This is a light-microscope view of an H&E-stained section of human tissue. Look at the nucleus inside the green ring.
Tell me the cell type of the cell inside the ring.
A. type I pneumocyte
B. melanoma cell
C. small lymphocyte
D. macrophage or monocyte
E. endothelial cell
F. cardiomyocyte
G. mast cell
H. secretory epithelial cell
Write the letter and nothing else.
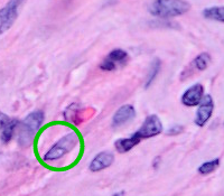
E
